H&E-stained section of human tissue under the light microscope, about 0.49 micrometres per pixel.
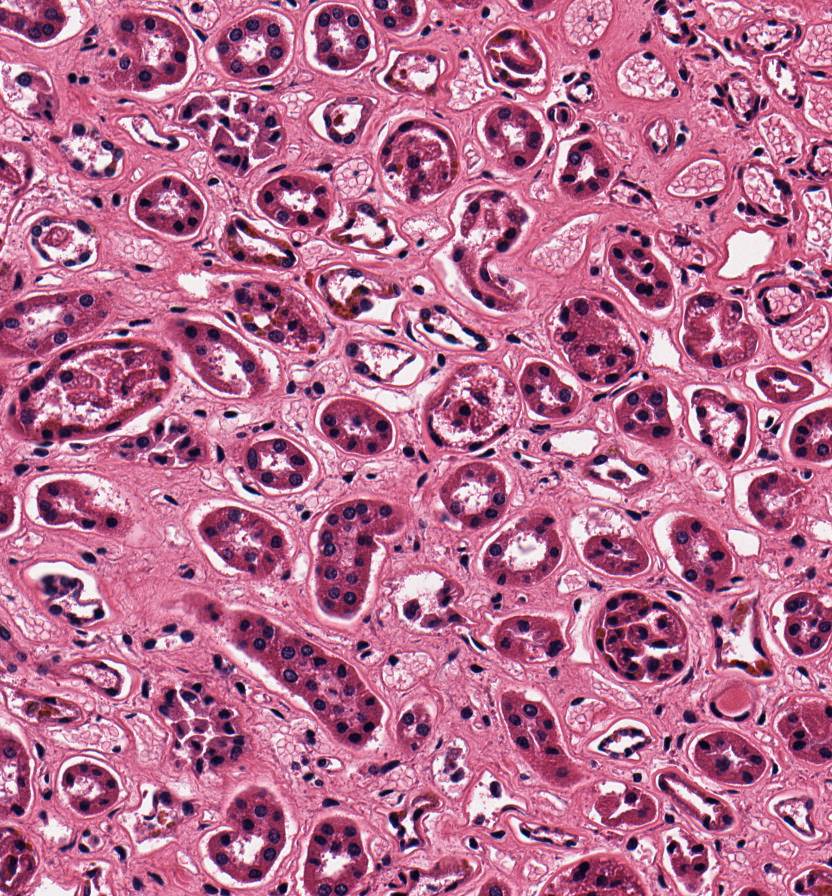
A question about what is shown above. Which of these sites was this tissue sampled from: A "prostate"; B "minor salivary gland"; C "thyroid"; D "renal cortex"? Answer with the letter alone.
D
